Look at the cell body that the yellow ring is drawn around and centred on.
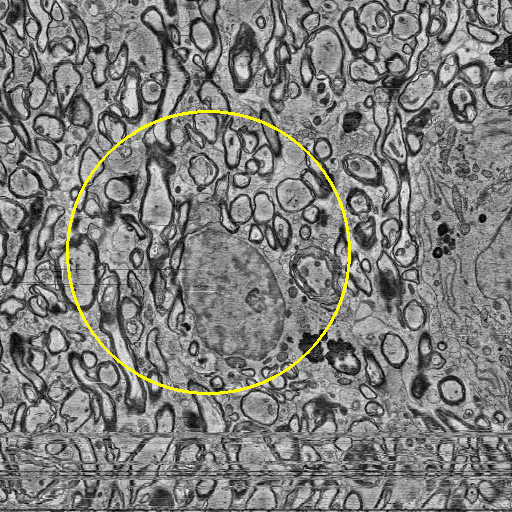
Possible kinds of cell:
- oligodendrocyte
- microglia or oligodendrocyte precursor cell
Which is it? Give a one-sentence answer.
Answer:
The centred cell body is that of an oligodendrocyte.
